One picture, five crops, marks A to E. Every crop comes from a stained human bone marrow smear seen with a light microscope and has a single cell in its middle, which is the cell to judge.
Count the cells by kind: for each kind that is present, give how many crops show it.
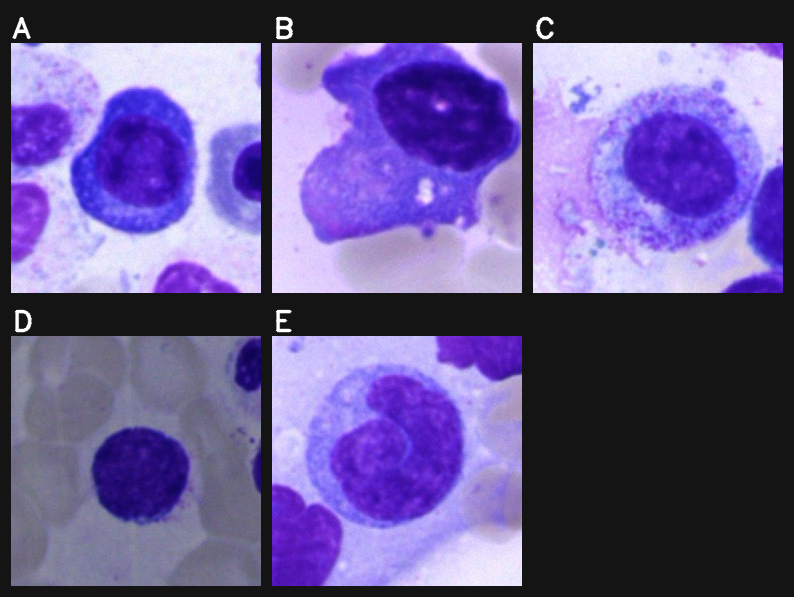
plasma cell: 2
promyelocyte: 1
lymphocyte: 1
monocyte: 1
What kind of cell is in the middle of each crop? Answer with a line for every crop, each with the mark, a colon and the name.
A: plasma cell
B: plasma cell
C: promyelocyte
D: lymphocyte
E: monocyte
